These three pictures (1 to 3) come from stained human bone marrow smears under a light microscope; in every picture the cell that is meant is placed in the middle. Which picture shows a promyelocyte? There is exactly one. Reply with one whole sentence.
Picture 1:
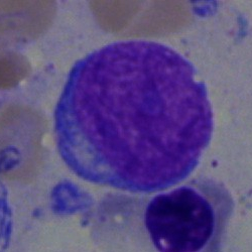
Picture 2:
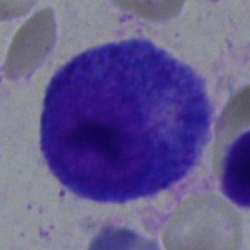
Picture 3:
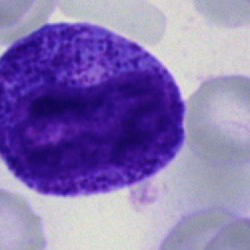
It is picture 2 that shows the promyelocyte.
